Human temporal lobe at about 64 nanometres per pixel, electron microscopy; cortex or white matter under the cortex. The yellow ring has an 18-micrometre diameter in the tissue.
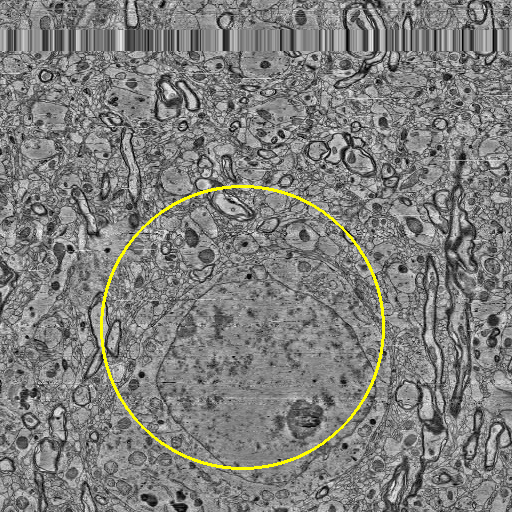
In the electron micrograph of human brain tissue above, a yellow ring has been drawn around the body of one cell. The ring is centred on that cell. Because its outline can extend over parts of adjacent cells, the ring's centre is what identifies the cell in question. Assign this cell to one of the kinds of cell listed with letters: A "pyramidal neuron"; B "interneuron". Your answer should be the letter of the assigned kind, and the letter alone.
A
